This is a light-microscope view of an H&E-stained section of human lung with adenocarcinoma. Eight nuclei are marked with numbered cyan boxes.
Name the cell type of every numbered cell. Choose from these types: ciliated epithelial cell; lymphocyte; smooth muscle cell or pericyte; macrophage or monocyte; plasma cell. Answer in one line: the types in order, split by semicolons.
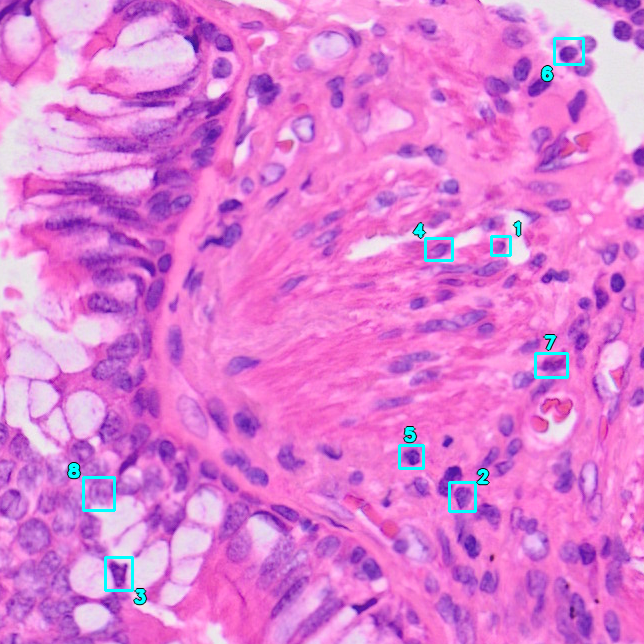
smooth muscle cell or pericyte; lymphocyte; ciliated epithelial cell; smooth muscle cell or pericyte; lymphocyte; lymphocyte; plasma cell; ciliated epithelial cell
